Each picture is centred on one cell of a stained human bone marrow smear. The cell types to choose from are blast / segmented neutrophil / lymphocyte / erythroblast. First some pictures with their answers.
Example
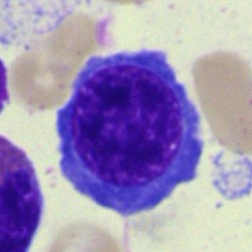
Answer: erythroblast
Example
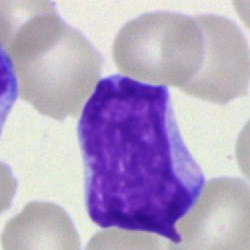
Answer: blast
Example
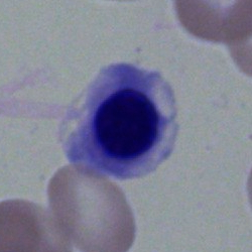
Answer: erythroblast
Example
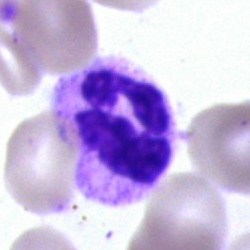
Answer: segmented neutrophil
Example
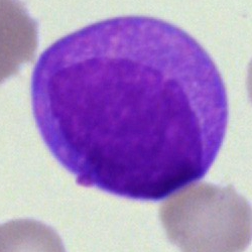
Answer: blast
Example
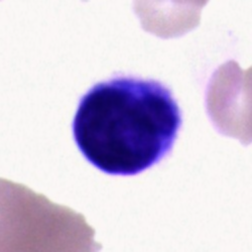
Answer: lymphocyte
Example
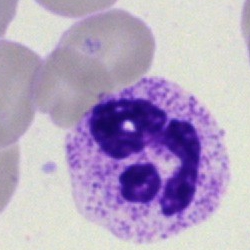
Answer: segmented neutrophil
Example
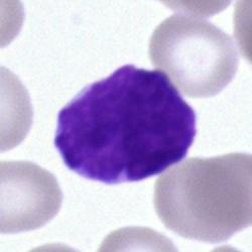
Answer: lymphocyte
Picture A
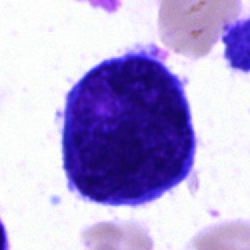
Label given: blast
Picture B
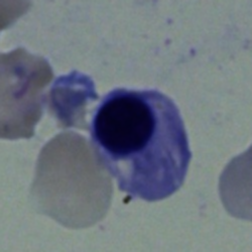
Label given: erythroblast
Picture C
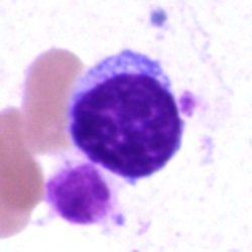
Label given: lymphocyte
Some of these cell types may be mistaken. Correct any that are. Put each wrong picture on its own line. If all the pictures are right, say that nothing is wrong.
Every label is right.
